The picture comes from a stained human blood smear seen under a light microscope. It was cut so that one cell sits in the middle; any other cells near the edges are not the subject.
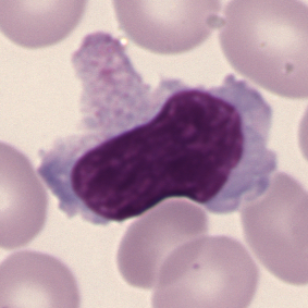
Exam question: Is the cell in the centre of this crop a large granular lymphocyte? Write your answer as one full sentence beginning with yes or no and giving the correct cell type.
Yes, this is a large granular lymphocyte, the cell in the middle of the crop.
